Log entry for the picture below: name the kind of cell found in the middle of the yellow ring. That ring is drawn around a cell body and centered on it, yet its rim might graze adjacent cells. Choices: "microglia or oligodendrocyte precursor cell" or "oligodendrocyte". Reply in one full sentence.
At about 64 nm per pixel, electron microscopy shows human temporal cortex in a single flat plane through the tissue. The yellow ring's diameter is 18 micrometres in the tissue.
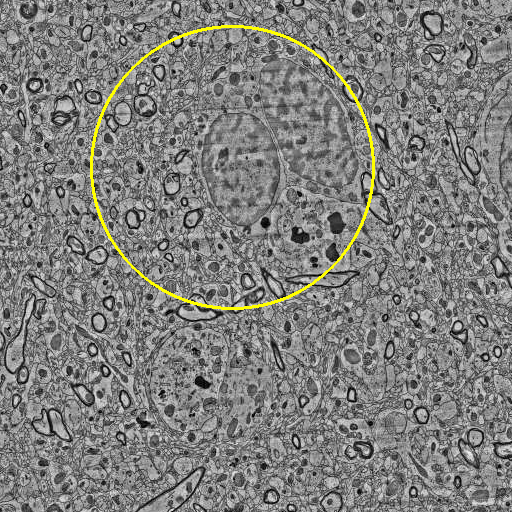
The cell in the middle of the yellow ring in this picture is an oligodendrocyte.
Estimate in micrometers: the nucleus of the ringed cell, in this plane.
The nucleus appears roughly 7 by 5 micrometres in this plane.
